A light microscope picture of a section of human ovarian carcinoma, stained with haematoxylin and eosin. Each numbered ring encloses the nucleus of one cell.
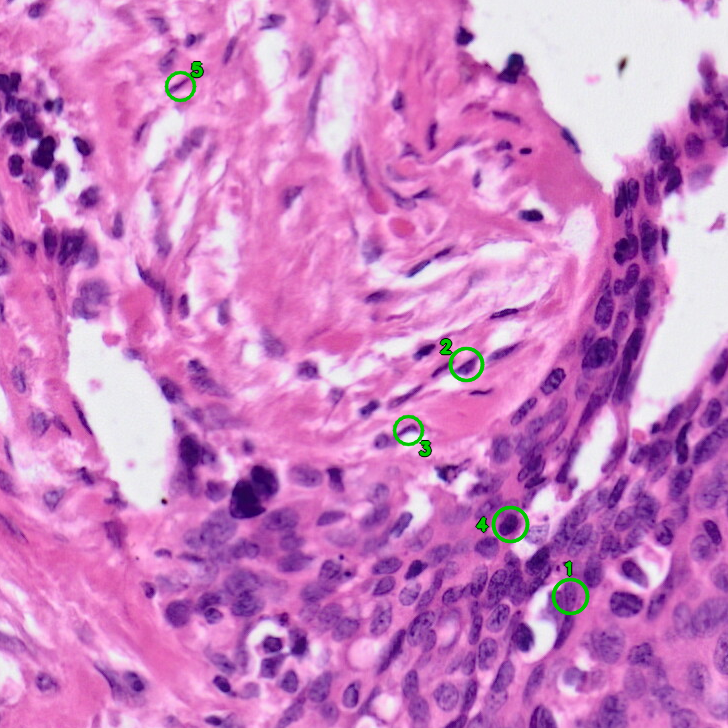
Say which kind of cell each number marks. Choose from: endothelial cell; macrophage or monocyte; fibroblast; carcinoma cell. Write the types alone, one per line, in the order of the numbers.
carcinoma cell
fibroblast
fibroblast
carcinoma cell
fibroblast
